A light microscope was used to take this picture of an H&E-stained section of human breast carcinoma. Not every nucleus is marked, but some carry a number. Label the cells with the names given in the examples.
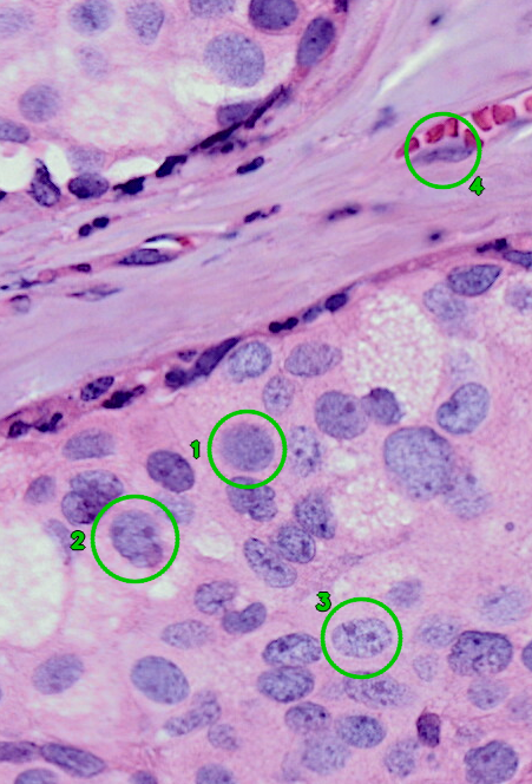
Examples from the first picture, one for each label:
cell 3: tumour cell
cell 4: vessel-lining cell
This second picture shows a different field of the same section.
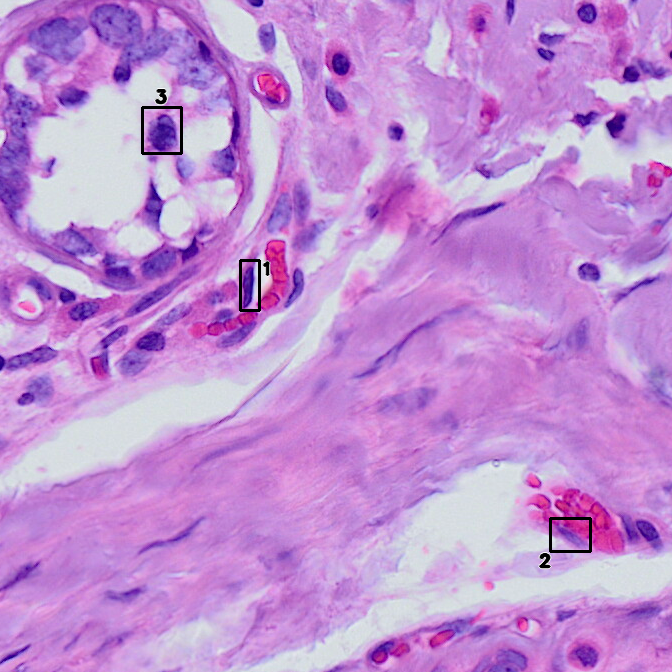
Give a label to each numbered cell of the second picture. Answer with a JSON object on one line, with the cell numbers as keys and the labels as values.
{"1": "vessel-lining cell", "2": "vessel-lining cell", "3": "tumour cell"}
